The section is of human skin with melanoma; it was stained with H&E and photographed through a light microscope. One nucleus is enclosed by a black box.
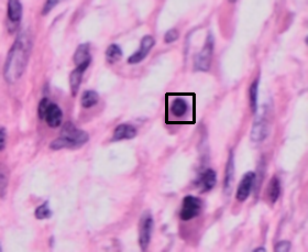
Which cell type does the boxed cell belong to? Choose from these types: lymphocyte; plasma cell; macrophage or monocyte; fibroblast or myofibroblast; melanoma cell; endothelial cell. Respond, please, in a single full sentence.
As classified here, the boxed cell is a plasma cell.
